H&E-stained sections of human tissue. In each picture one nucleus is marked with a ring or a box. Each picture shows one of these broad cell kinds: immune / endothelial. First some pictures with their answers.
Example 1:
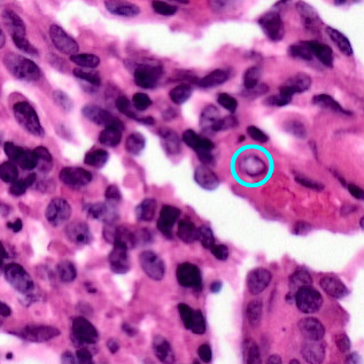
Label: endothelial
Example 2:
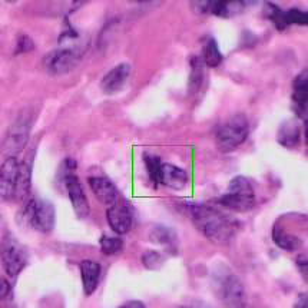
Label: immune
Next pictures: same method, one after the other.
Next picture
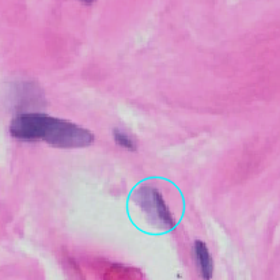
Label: endothelial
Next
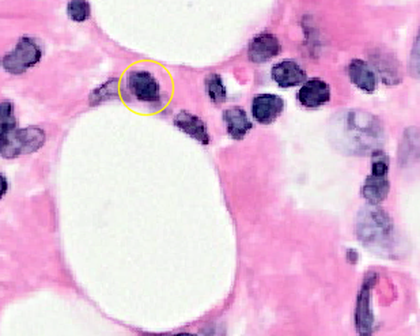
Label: immune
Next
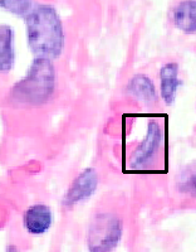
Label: endothelial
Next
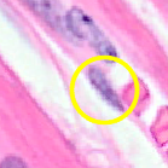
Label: endothelial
